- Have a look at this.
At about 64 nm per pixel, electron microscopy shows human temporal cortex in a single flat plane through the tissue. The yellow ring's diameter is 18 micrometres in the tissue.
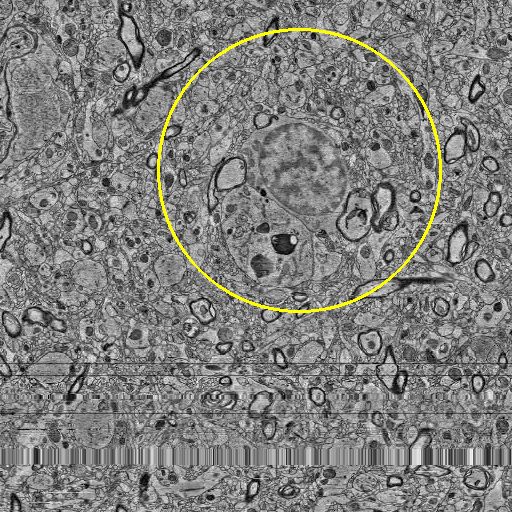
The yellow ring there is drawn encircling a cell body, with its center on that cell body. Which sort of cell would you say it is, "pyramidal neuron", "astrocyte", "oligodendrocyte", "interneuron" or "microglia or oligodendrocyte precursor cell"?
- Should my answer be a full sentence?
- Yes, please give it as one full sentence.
For this picture, an oligodendrocyte is the cell where the yellow ring has its center.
